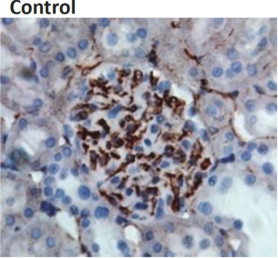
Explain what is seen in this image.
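This is a glomerulus of the kidney cortex, cut through its middle and surrounded by renal tubules. The glomerular tuft is a round cluster of capillary loops with many small blue nuclei. Only faint brown lines mark the tubular outlines and the spaces between the tubules.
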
